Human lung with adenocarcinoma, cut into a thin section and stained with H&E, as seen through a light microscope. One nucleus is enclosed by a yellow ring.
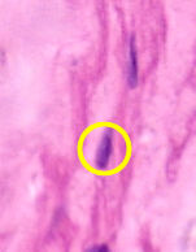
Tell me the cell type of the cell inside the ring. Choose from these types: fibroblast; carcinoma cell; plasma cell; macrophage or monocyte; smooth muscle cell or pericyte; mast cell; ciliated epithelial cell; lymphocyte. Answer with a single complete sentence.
The cell inside the ring appears to be a smooth muscle cell or pericyte.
